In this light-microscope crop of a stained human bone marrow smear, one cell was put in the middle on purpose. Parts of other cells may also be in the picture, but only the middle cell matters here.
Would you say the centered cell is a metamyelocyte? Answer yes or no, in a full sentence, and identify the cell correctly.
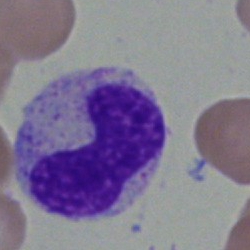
Yes, the middle cell is classified as a metamyelocyte.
